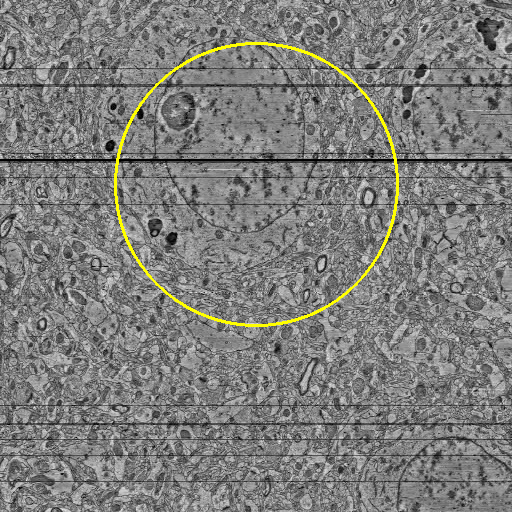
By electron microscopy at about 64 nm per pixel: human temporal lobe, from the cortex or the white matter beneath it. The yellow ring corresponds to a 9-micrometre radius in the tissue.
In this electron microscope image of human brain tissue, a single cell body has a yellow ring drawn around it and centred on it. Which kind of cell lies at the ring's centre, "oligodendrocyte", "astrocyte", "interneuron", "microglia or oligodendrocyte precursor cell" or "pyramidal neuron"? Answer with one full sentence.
It is a pyramidal neuron whose cell body lies at the centre of the yellow ring here.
